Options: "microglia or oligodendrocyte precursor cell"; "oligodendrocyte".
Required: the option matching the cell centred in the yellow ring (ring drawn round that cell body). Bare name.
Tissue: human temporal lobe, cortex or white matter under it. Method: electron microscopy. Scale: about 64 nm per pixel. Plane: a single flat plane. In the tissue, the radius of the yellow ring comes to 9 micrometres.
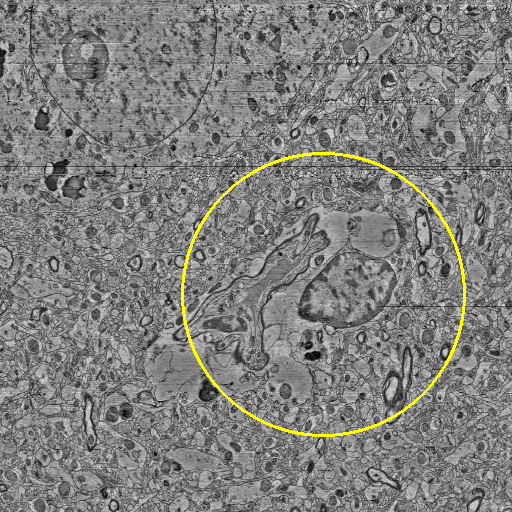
microglia or oligodendrocyte precursor cell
